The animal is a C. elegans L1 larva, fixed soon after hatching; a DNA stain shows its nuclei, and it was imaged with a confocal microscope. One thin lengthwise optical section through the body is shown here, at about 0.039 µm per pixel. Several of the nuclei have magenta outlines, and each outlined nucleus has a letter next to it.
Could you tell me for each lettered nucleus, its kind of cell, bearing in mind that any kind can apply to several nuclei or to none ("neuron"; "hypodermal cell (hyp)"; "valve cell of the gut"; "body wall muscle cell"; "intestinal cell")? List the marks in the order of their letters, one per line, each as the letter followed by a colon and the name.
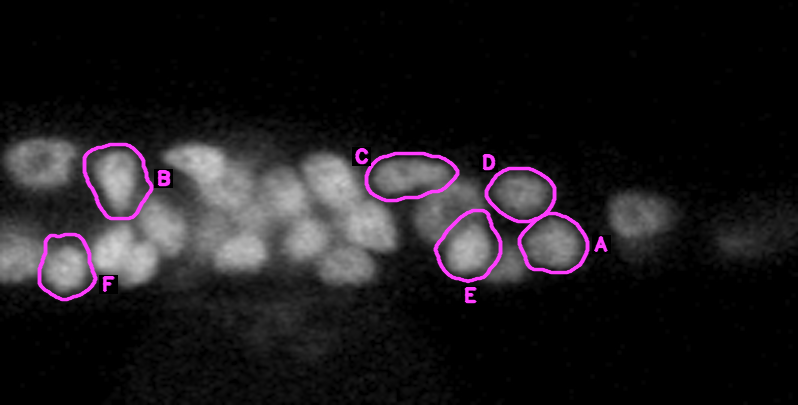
A: hypodermal cell (hyp)
B: valve cell of the gut
C: body wall muscle cell
D: neuron
E: neuron
F: neuron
